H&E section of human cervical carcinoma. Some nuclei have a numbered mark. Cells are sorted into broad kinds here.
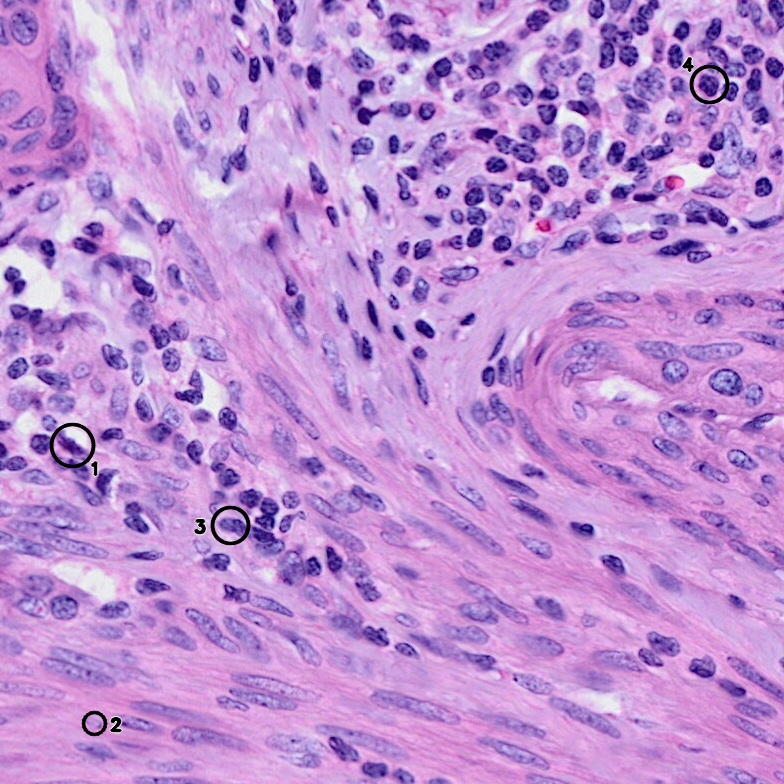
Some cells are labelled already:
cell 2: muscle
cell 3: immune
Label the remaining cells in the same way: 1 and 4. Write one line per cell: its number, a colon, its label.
1: immune
4: immune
